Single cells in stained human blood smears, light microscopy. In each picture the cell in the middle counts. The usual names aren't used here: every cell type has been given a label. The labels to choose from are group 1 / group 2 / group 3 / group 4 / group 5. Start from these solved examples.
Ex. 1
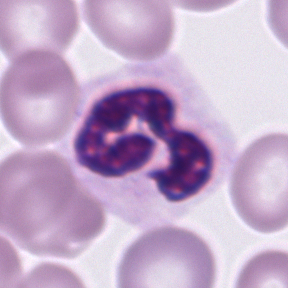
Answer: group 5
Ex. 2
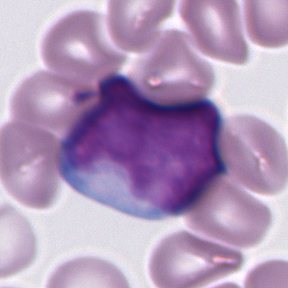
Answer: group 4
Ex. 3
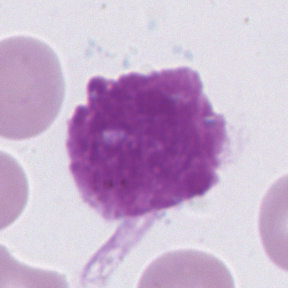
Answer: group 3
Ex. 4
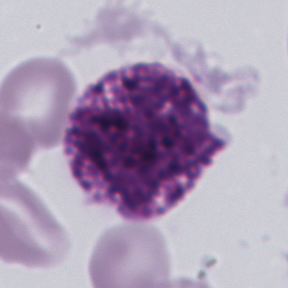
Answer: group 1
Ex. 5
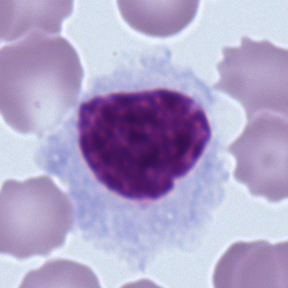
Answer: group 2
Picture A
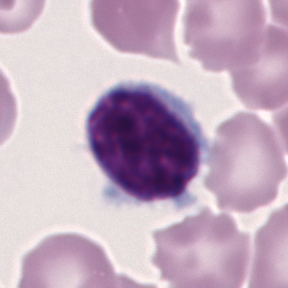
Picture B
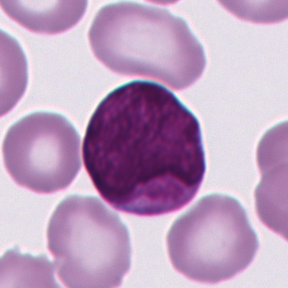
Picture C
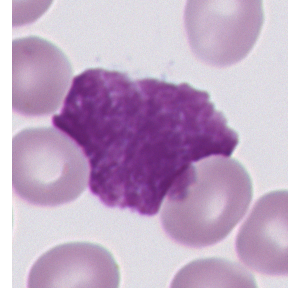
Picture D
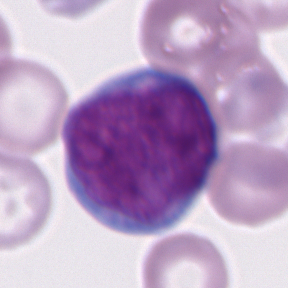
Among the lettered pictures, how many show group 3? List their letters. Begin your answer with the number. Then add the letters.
1, namely C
